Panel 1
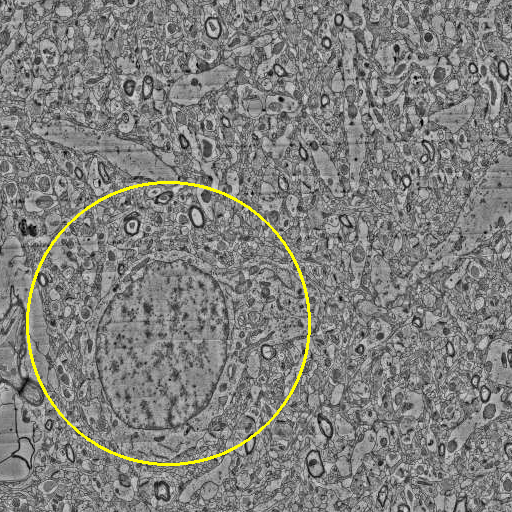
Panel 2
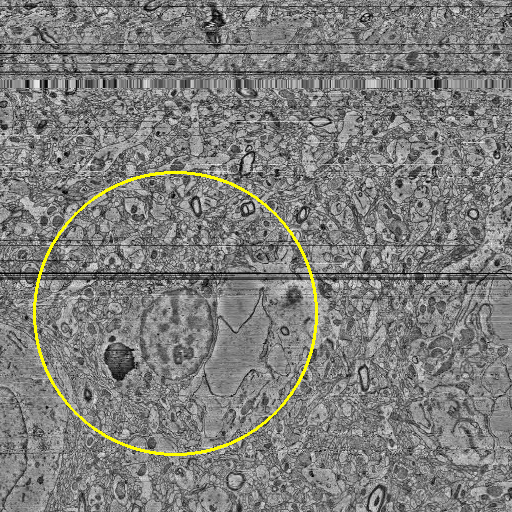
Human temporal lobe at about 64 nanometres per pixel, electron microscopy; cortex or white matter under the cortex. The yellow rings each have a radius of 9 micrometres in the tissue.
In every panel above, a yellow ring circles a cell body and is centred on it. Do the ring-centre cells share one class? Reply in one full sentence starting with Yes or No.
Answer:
No, the two cells at the ring centres in the panels belong to two classes.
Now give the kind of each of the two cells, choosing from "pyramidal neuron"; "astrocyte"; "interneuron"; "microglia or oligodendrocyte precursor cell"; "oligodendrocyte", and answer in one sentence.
The cell in the first picture is an interneuron, and the cell in the second is an oligodendrocyte.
